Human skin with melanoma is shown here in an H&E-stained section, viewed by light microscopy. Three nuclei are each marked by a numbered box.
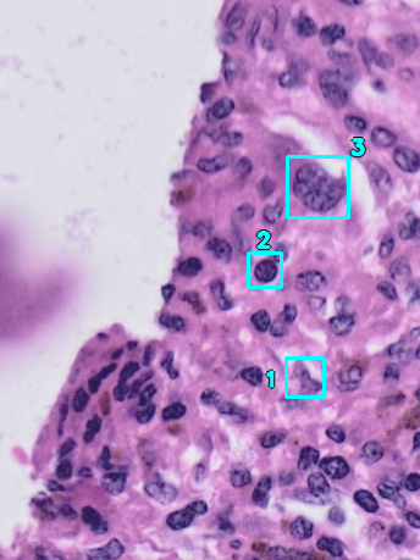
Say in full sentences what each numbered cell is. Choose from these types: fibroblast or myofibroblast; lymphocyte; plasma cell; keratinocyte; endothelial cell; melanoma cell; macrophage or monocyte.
Cell 1 is a fibroblast or myofibroblast. Cell 2 is a lymphocyte. Cell 3 is a melanoma cell.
